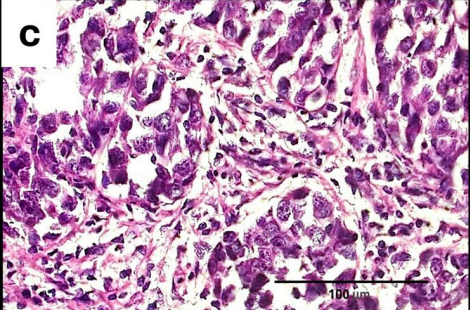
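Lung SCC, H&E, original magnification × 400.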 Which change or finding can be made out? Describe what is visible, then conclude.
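Nuclei are large, dark and very unequal in size and shape. Some nuclei are irregular and hyperchromatic.
Conclusion: bizarre anaplastic nuclei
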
